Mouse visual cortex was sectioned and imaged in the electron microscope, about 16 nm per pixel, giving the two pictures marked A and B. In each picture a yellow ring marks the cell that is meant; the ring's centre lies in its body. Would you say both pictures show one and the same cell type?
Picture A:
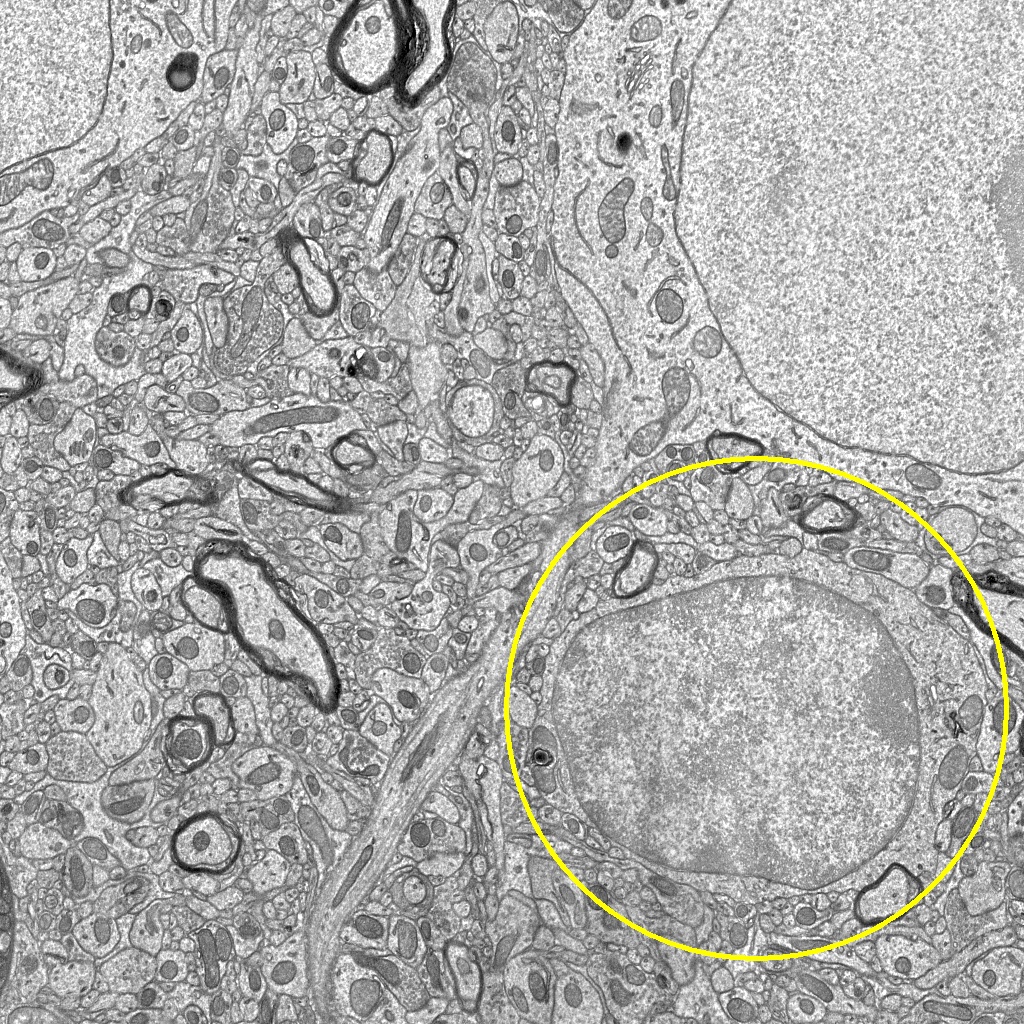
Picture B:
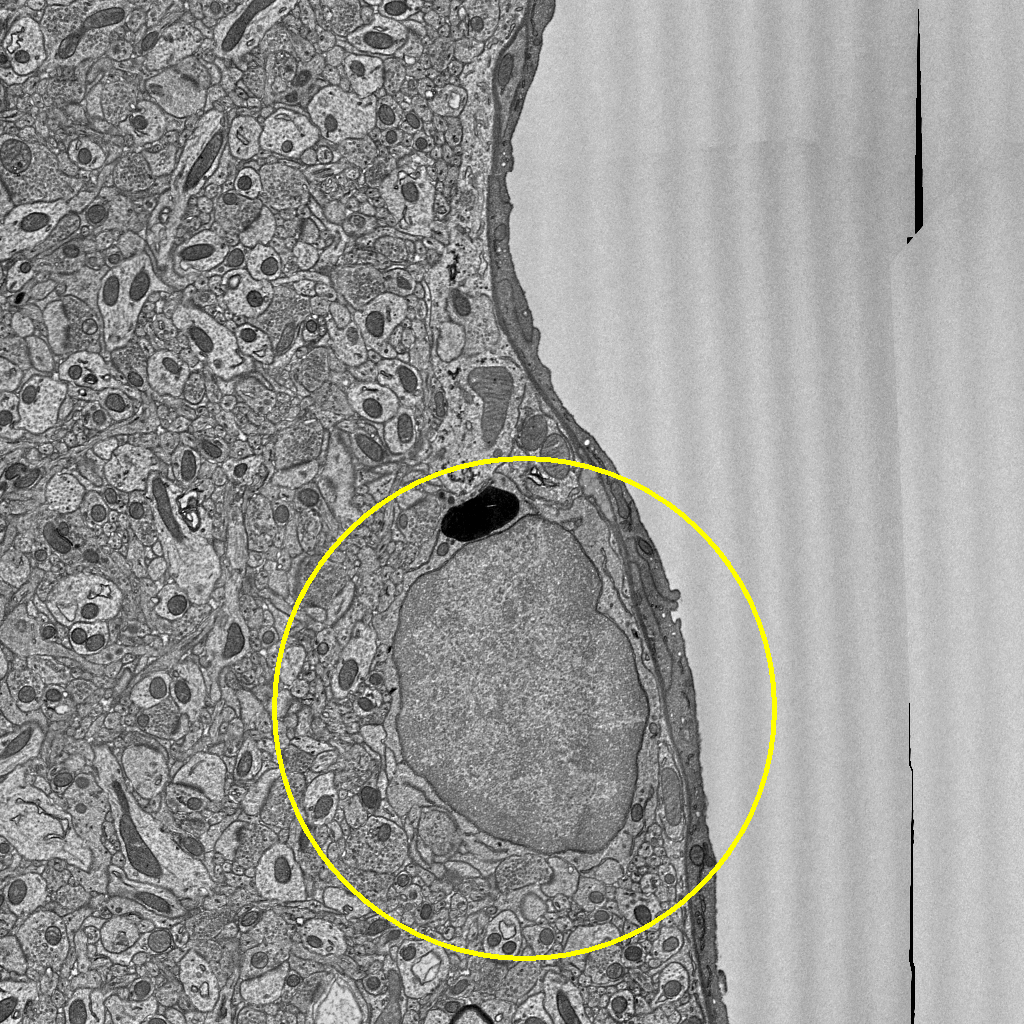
No, picture A shows an oligodendrocyte and picture B shows a microglial cell.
